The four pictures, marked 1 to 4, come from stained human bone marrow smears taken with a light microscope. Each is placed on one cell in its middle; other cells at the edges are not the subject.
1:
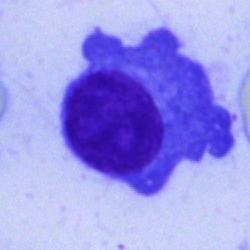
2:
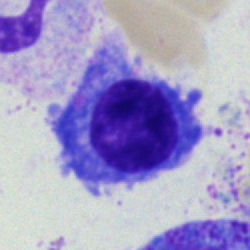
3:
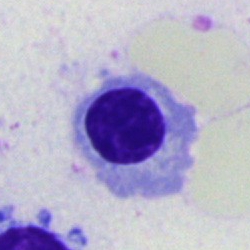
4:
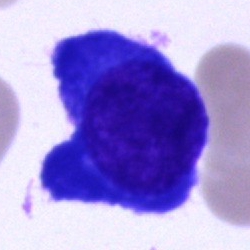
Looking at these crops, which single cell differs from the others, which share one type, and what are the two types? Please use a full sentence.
Crop 3 is an erythroblast, the one exception to the plasma cells of the other crops.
